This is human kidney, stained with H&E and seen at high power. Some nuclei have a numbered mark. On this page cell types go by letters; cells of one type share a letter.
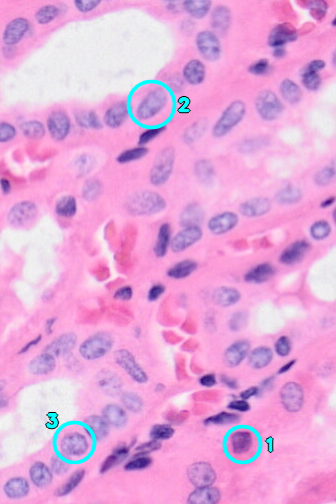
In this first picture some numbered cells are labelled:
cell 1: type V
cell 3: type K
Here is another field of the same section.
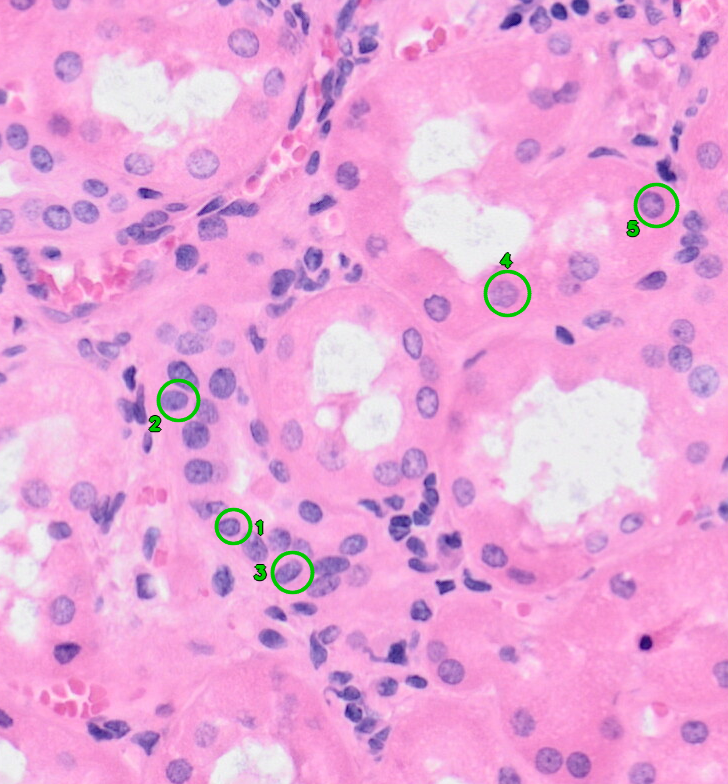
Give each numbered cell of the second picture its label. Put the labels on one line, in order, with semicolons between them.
type K; type K; type K; type V; type V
